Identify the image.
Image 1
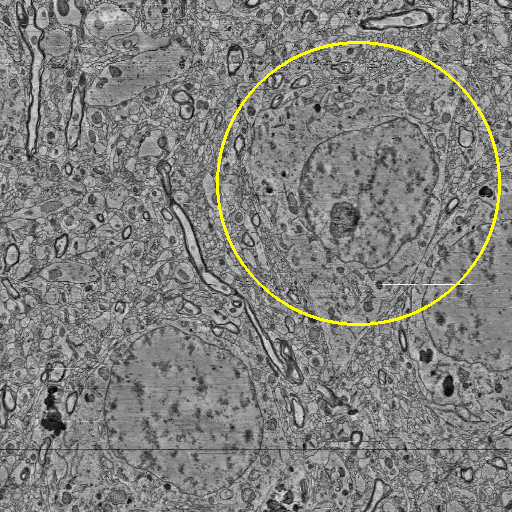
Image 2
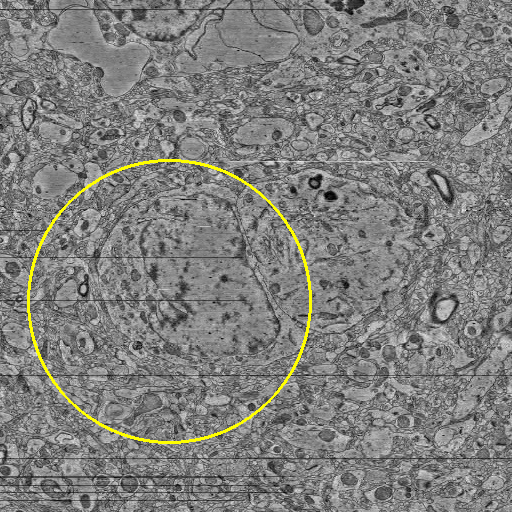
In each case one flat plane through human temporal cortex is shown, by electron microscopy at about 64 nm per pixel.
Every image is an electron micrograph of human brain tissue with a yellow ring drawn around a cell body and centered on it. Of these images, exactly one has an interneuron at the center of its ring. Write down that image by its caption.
Image 2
